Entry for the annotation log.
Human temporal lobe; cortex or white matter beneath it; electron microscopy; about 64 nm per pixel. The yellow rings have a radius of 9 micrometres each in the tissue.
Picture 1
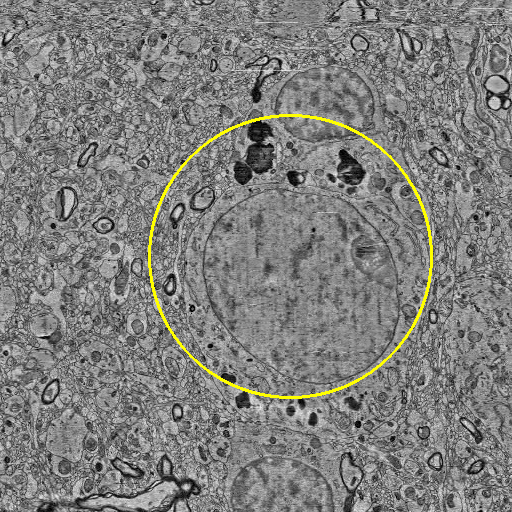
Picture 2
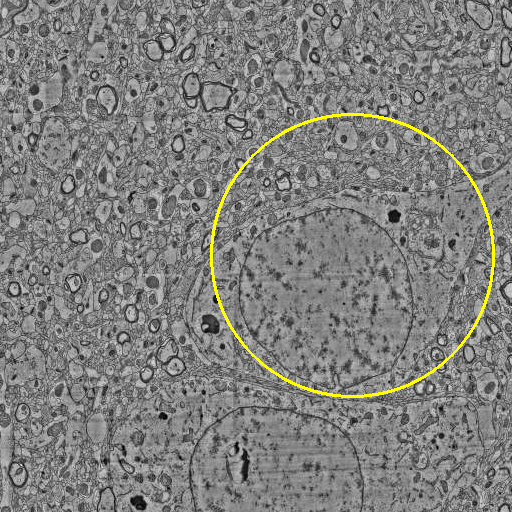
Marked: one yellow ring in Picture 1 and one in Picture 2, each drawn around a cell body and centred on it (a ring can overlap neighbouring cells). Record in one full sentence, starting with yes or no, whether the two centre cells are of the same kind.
Yes, both cells are of the same kind.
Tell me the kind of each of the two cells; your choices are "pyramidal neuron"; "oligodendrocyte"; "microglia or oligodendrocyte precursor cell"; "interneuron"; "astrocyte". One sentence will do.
Each of the two rings surrounds a pyramidal neuron.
